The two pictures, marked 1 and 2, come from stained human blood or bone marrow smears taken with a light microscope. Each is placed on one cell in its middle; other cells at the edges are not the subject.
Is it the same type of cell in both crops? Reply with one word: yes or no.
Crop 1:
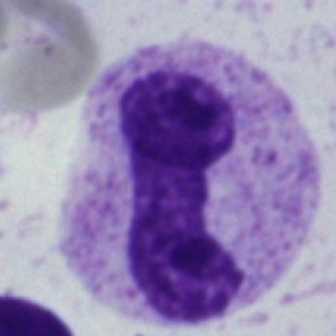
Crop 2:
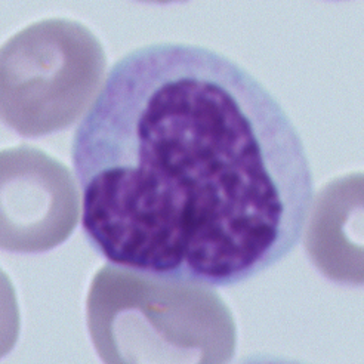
yes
